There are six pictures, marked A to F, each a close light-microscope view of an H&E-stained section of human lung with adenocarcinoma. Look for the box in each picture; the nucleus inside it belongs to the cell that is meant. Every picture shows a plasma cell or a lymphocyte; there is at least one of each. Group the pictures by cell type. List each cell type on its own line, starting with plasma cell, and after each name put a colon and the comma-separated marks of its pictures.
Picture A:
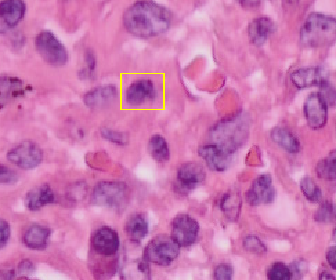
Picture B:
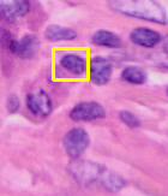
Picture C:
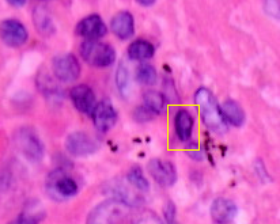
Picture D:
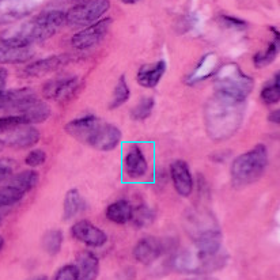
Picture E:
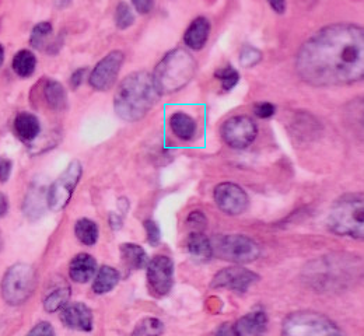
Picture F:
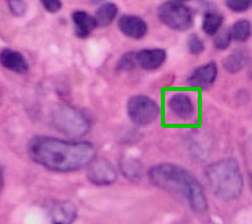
plasma cell: C, D
lymphocyte: A, B, E, F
